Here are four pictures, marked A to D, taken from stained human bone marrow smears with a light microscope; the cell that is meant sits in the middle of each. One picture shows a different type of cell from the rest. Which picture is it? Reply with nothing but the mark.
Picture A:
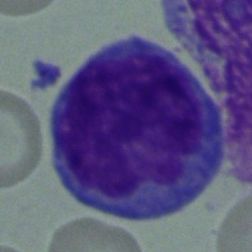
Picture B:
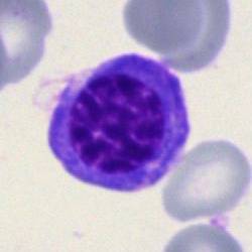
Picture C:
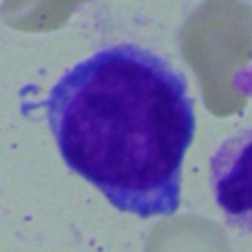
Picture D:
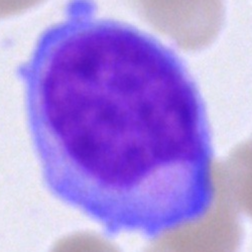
B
